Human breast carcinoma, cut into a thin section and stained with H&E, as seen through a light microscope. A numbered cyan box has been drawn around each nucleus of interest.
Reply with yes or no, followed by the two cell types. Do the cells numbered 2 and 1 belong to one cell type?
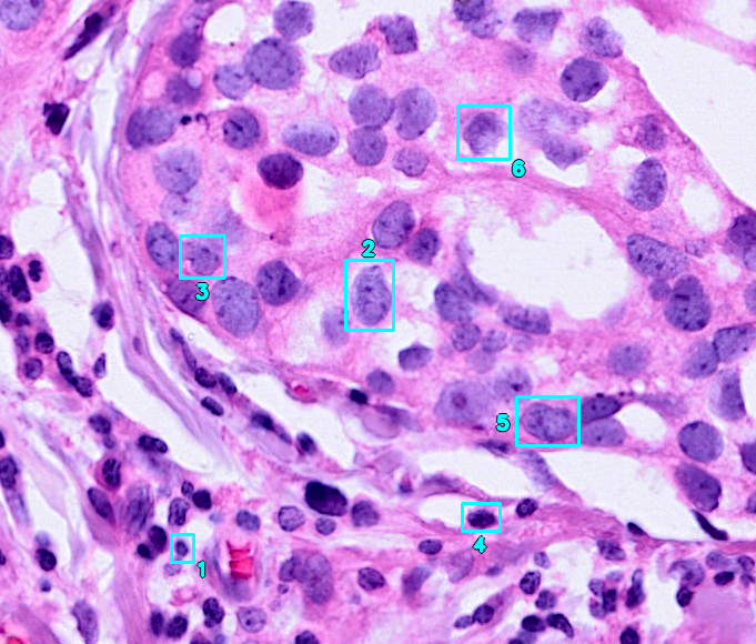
No, cell 2 is a carcinoma cell; cell 1 is a lymphocyte.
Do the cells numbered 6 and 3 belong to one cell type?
Yes, the two numbered cells, 6 and 3, are both carcinoma cells.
